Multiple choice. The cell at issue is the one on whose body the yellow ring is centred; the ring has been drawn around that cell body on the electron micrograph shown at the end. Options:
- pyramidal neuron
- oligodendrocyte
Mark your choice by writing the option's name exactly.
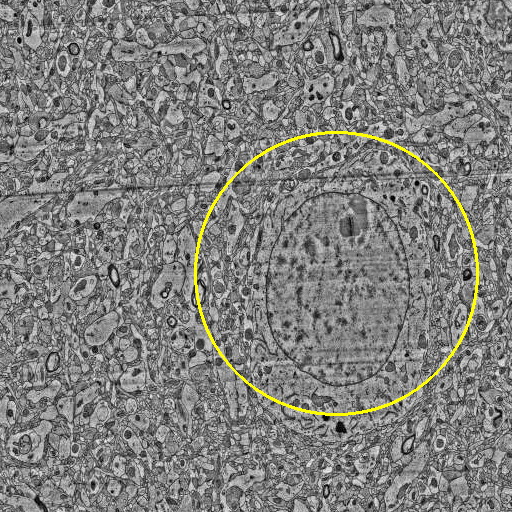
pyramidal neuron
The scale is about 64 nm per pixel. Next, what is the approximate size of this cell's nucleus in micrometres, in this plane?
The nucleus is approximately 12 micrometers long by 9 micrometers wide in this plane.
